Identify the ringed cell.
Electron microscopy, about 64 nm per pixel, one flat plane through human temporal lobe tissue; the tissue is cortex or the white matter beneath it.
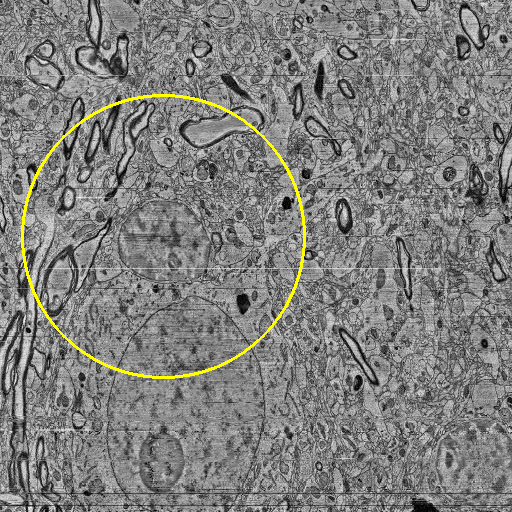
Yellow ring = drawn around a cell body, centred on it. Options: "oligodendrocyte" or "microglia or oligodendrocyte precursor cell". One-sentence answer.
What the ring is centred on is an oligodendrocyte.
